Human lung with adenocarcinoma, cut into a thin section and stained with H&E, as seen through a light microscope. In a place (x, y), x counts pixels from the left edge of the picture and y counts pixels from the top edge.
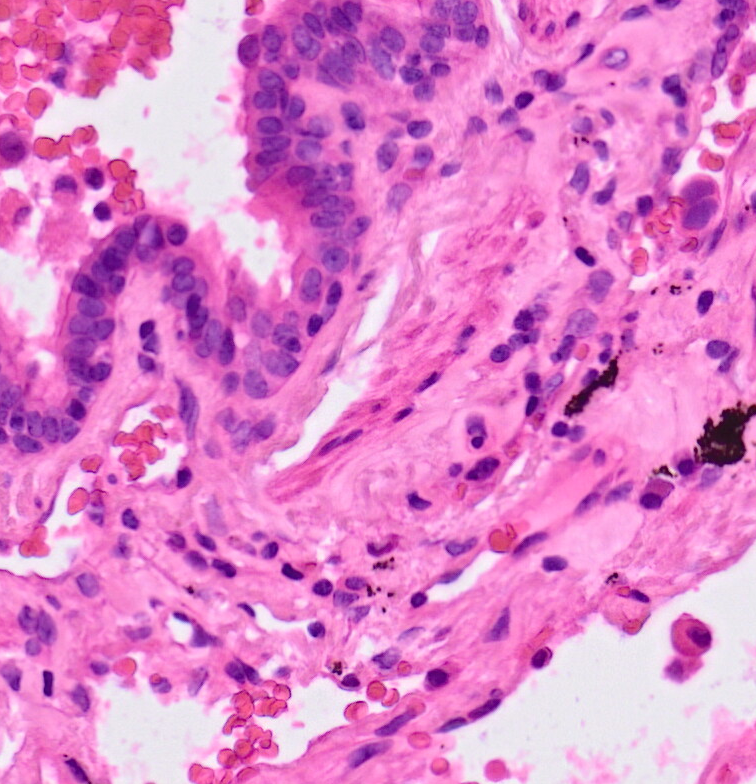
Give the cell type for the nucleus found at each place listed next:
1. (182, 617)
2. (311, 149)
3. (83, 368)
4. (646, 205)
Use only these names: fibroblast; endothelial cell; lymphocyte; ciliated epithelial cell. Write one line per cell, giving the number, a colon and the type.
1: endothelial cell
2: ciliated epithelial cell
3: ciliated epithelial cell
4: lymphocyte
